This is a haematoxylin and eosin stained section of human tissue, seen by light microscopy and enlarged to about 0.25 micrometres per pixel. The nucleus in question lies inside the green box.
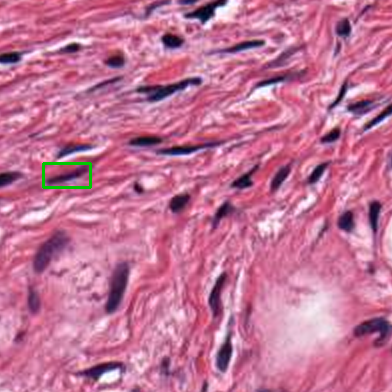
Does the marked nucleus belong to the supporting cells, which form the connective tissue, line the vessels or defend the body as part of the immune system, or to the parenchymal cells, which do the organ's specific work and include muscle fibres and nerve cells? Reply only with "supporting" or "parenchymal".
supporting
